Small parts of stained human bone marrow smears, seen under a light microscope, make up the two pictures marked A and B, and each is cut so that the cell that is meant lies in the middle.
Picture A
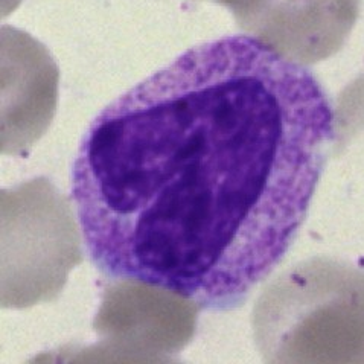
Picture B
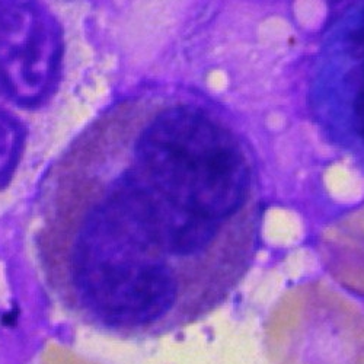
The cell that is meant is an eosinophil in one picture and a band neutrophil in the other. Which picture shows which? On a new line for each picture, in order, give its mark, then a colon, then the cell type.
A: band neutrophil
B: eosinophil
